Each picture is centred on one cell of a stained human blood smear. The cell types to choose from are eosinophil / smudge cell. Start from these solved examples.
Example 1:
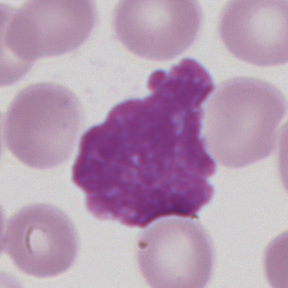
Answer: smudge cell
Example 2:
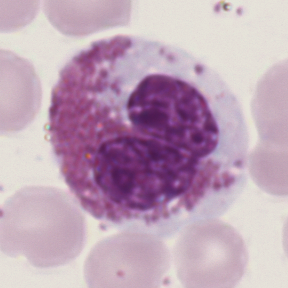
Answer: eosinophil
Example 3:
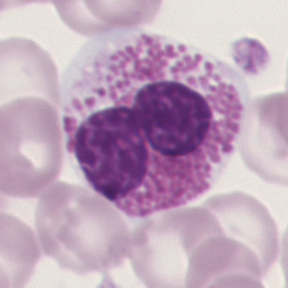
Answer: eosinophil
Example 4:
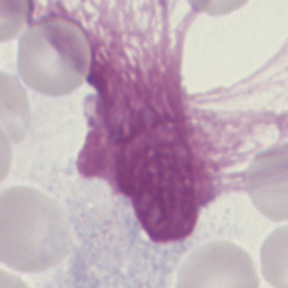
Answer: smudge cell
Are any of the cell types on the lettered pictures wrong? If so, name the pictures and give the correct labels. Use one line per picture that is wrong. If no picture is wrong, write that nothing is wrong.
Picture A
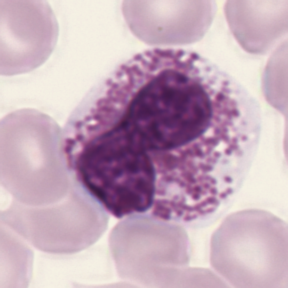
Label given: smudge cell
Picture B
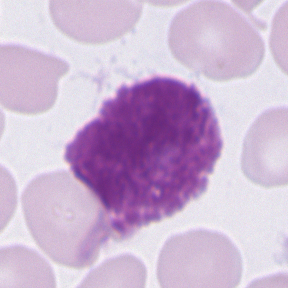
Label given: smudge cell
A: not smudge cell but eosinophil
